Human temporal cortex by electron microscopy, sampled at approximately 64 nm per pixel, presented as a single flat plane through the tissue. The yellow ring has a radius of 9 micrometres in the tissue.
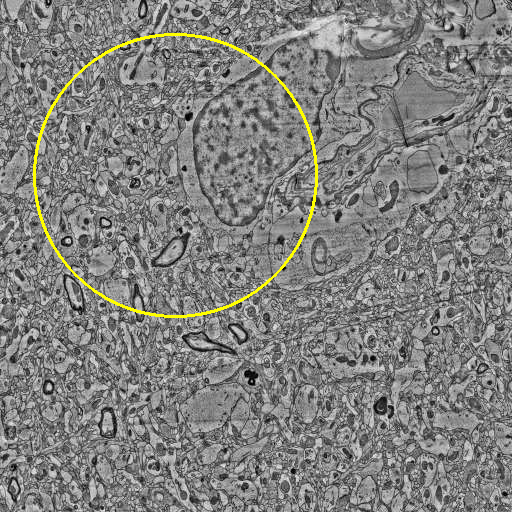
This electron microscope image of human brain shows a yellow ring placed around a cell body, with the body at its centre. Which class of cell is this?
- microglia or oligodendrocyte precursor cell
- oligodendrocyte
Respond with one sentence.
The cell body at the ring's centre is an oligodendrocyte.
